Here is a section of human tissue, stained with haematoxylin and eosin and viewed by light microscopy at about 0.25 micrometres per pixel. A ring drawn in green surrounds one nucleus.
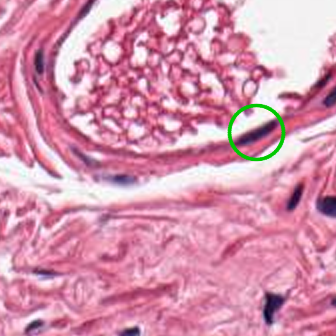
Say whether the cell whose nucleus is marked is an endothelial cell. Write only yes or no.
yes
